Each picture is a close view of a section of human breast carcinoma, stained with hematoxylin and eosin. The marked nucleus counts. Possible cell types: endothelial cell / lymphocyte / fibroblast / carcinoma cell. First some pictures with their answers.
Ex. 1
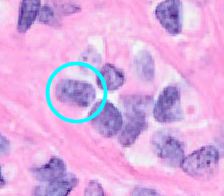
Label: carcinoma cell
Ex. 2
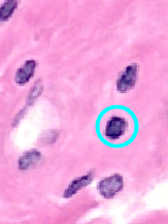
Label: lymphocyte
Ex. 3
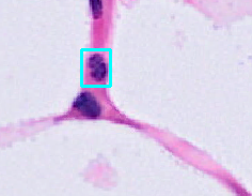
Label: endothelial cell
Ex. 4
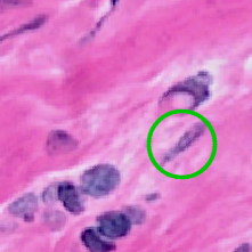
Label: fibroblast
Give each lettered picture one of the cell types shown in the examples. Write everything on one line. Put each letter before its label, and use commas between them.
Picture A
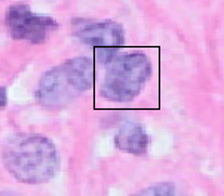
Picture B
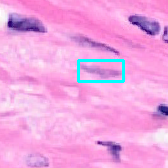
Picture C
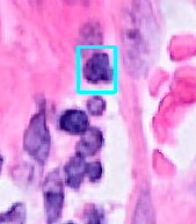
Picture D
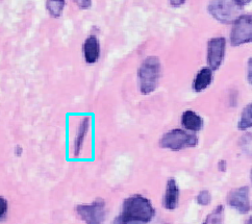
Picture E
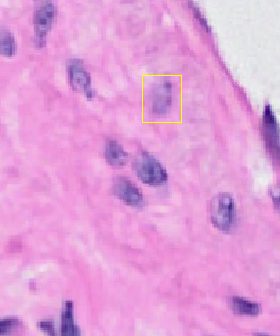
A carcinoma cell, B fibroblast, C lymphocyte, D fibroblast, E endothelial cell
